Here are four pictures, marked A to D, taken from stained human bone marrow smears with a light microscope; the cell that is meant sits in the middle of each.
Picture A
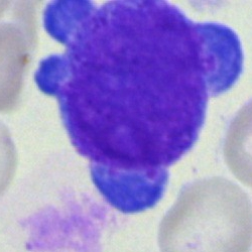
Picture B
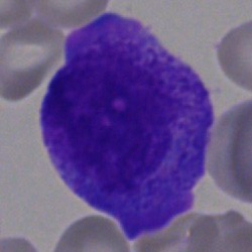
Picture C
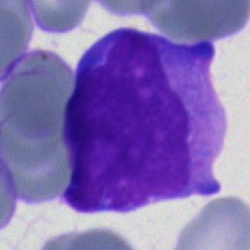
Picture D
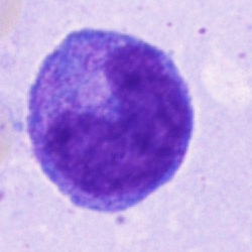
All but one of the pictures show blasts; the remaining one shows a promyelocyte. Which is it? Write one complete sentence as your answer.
Picture D shows the promyelocyte.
